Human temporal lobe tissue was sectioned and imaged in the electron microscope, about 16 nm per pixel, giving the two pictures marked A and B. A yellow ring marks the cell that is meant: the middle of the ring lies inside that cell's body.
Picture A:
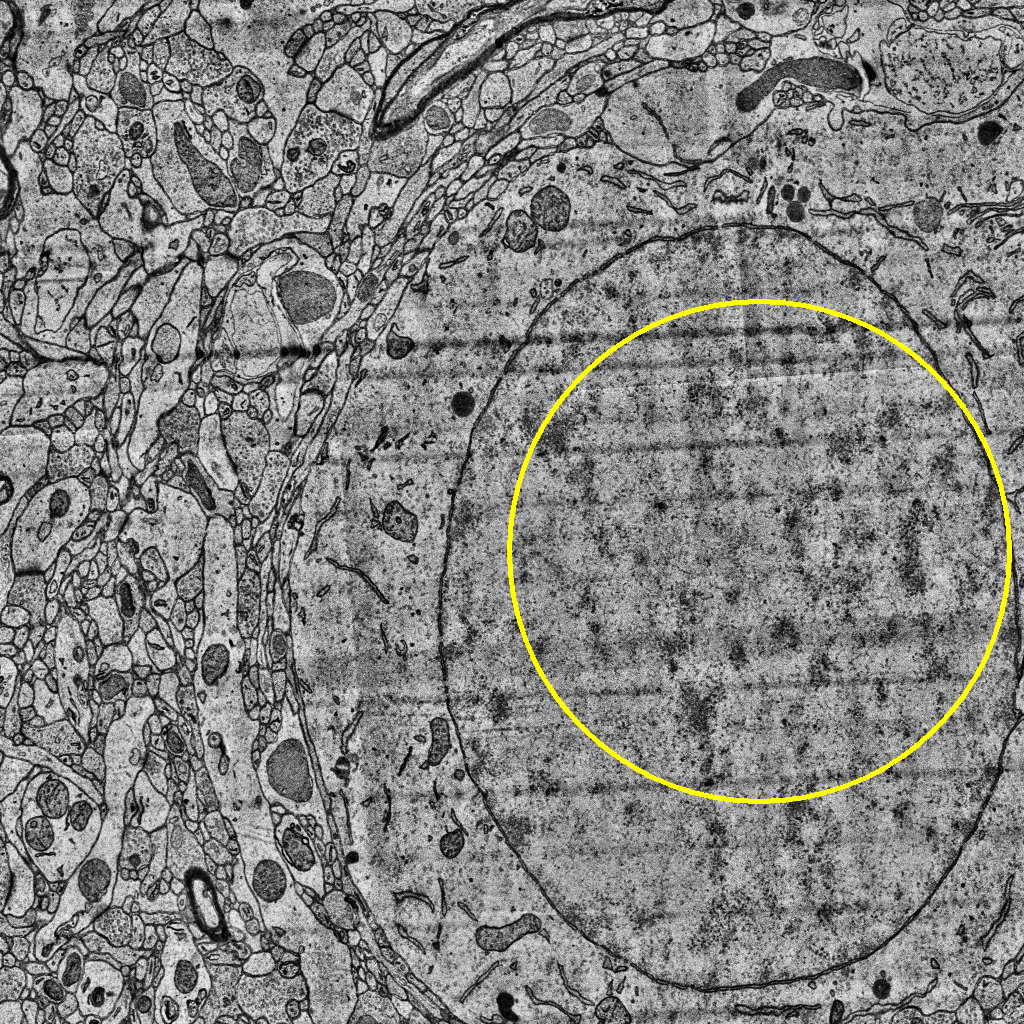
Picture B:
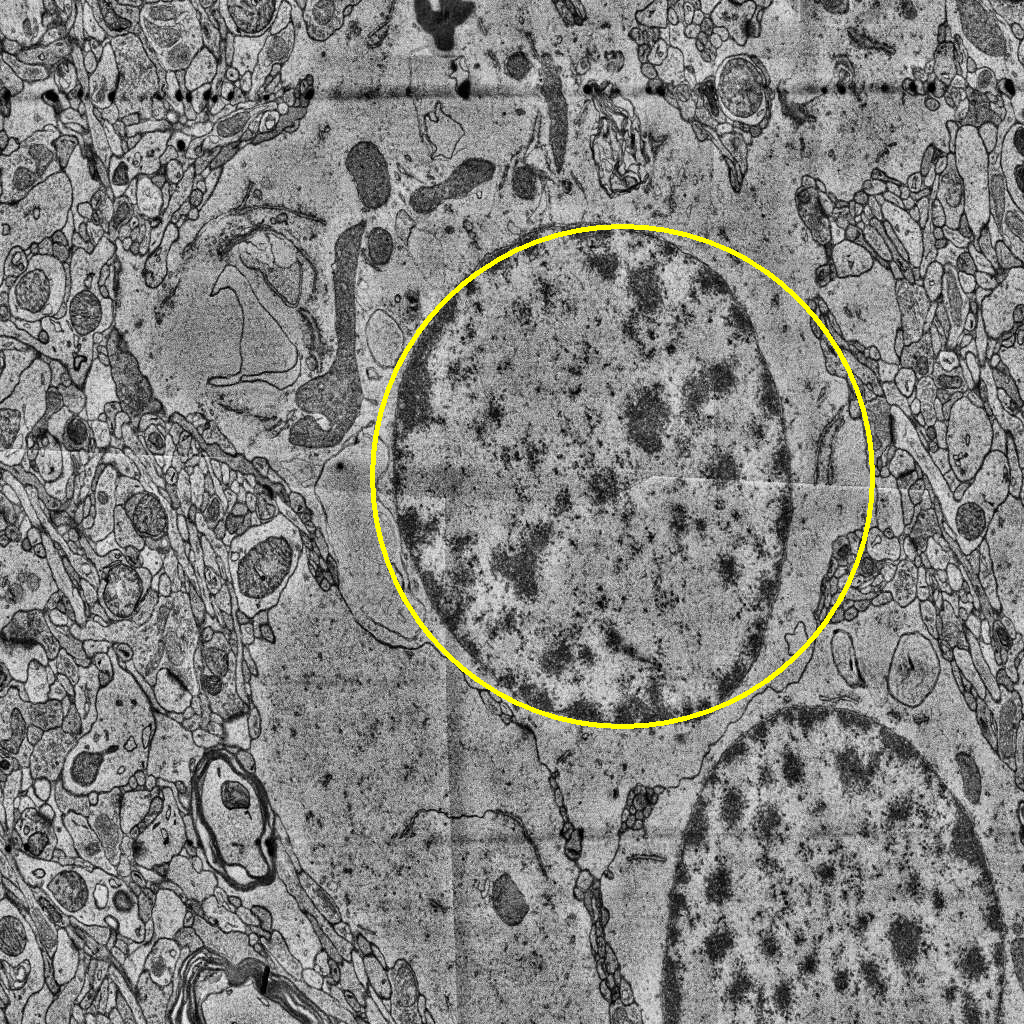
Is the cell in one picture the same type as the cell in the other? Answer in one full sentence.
No, the types are not the same, since picture A shows a pyramidal neuron and picture B an astrocyte.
